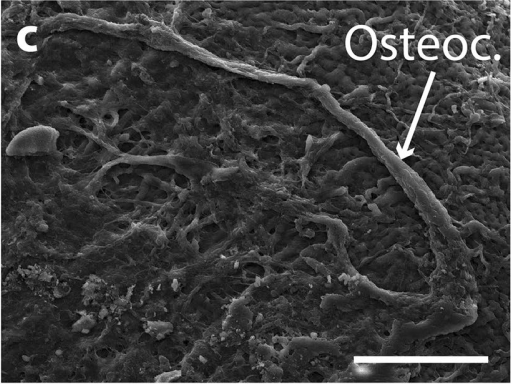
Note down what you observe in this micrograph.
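The processes are thin, elongated, branching strands that form a loose network, one long process curving across the field. The underlying mineralised surface has a finely lumpy, granular texture.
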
